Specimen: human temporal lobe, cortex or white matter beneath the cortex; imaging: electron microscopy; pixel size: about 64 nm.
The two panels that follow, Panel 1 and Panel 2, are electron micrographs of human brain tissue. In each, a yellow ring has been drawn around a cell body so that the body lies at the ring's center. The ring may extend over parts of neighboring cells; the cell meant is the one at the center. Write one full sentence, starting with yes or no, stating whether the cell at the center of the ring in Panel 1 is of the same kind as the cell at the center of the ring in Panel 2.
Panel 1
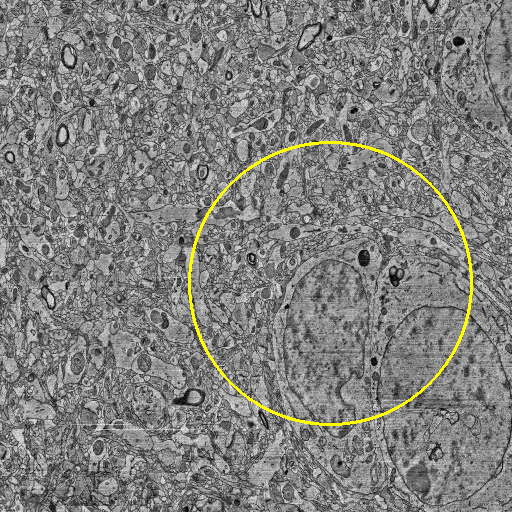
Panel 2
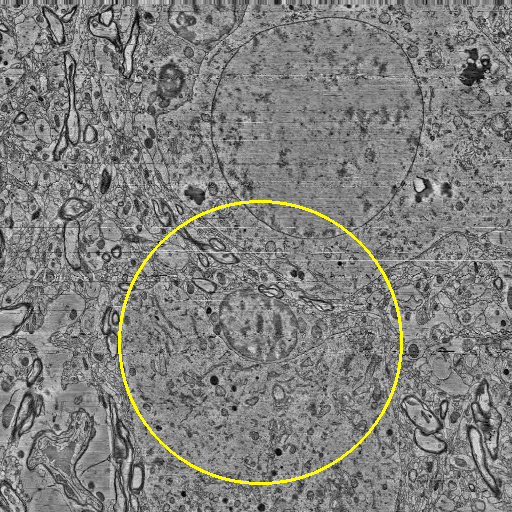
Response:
No, the cells in the two panels are of two kinds.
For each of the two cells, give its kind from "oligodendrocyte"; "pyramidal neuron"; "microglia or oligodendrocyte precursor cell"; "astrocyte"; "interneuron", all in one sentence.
The first picture has an interneuron in its ring, the second has an oligodendrocyte.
